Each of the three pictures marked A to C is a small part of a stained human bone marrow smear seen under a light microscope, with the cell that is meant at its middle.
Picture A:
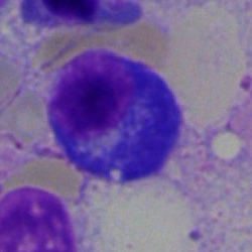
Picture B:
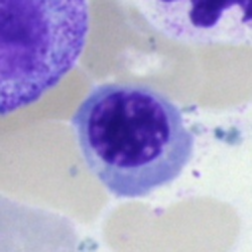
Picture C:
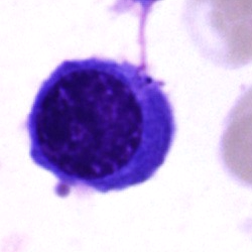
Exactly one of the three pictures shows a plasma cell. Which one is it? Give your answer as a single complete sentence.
Picture A shows the plasma cell.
